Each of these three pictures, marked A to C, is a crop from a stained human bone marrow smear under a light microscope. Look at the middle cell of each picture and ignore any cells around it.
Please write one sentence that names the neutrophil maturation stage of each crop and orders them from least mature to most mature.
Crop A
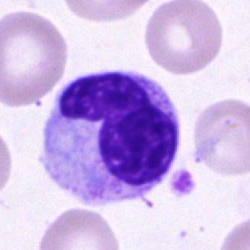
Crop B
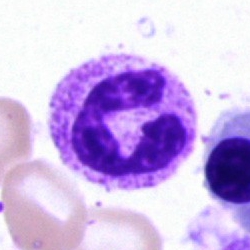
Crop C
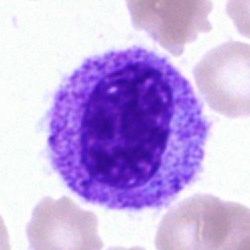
In terms of maturity, from least to most, the order is crop C (a myelocyte), crop A (a band neutrophil) and crop B (a segmented neutrophil).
